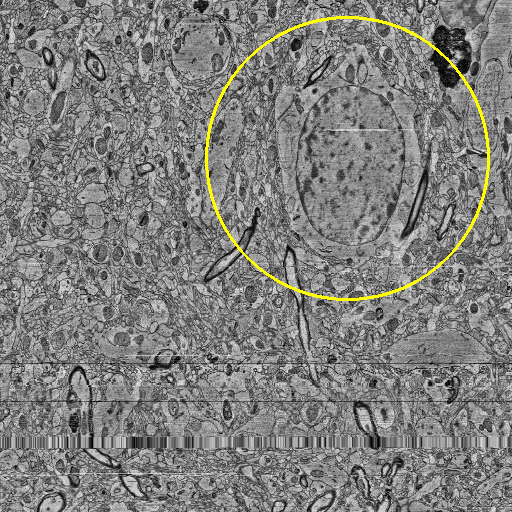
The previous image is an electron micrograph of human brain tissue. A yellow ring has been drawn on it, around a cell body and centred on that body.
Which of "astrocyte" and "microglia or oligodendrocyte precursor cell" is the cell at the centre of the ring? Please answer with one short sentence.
The cell body at the centre of the ring belongs to an astrocyte.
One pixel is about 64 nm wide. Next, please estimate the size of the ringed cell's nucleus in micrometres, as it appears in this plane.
The ringed cell's nucleus is roughly 11 by 7 micrometres and clearly longer than it is wide in this plane.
